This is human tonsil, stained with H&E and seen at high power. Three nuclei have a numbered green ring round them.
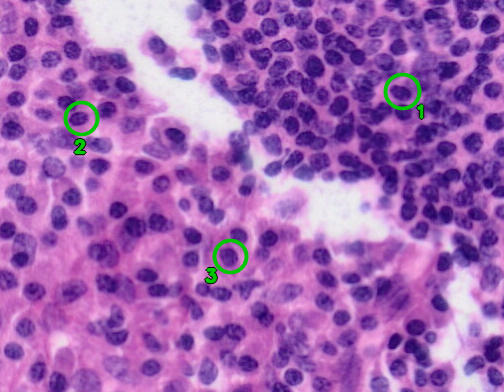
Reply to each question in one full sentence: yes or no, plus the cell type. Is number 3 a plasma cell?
Yes, cell number 3 in this section is a plasma cell.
